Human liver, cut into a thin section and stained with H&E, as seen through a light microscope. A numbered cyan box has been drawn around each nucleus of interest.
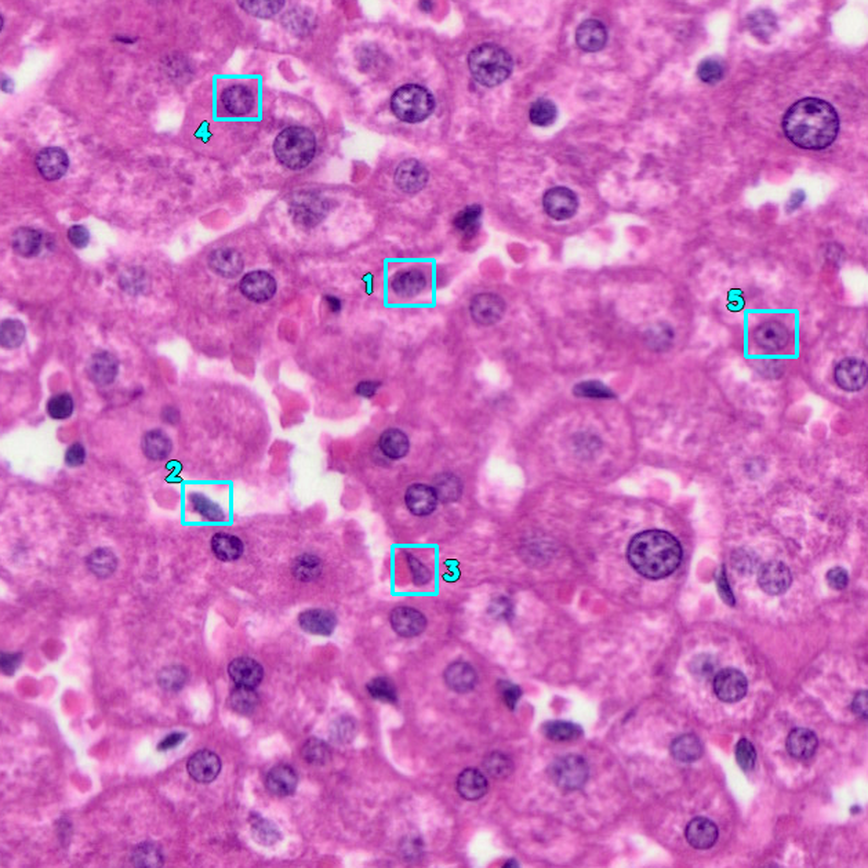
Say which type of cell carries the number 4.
hepatocyte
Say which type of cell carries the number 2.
lymphocyte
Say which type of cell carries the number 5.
hepatocyte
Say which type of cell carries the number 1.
Kupffer cell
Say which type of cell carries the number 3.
endothelial cell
